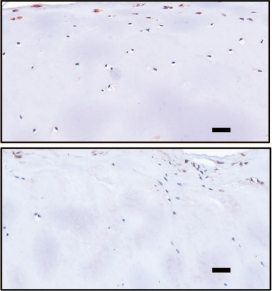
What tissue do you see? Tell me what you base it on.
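Broad pale bluish-grey matrix with few cells. Small cells lie sparsely scattered, singly, in the matrix. No vessels or fibrous bundles are seen in the matrix. On this evidence: articular cartilage.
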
